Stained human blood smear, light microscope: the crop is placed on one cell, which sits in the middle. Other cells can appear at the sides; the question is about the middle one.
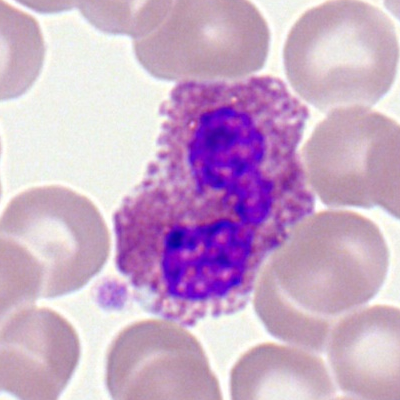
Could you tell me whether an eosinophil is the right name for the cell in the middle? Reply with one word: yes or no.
yes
